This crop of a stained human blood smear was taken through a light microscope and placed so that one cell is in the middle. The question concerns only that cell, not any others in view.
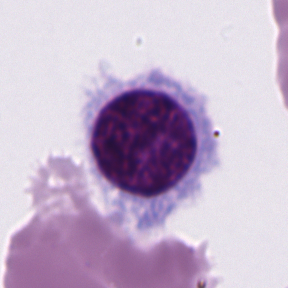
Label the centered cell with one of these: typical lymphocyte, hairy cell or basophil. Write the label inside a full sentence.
In the central position of this crop, the cell is a hairy cell.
